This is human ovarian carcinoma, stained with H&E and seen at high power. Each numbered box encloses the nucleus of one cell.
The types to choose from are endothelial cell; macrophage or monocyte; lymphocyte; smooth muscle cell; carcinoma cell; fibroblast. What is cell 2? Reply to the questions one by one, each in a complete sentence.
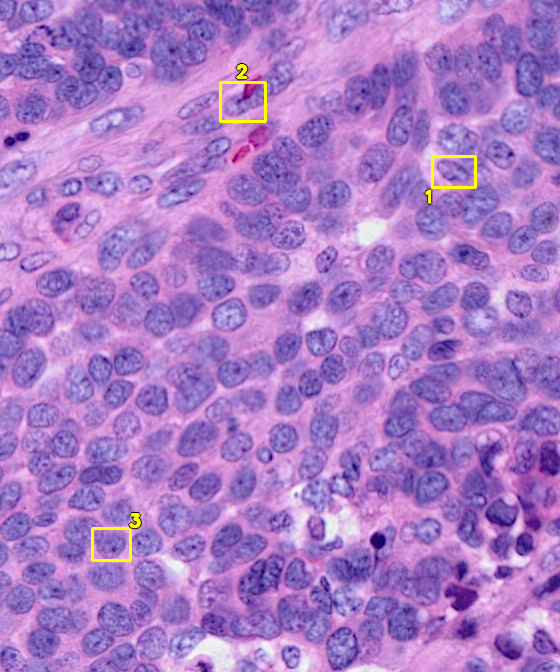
Cell 2 of the marked set is an endothelial cell.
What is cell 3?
The numbered cell 3 in this field is a carcinoma cell.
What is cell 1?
Denoted by the label 1 in the section is a macrophage or monocyte.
